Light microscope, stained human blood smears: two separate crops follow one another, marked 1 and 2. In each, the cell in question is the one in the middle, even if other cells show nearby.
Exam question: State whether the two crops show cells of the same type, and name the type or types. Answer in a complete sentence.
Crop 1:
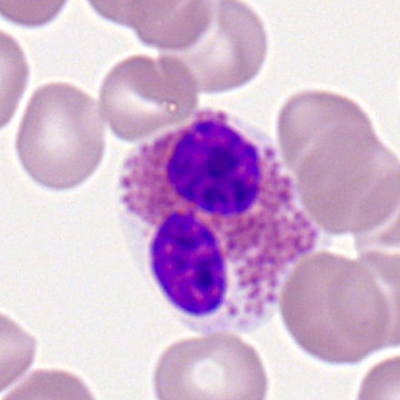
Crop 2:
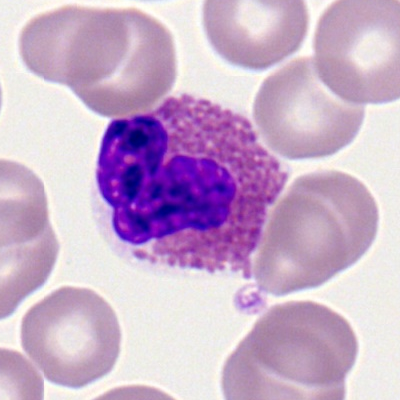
Yes, both the first crop and the second crop show eosinophils.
